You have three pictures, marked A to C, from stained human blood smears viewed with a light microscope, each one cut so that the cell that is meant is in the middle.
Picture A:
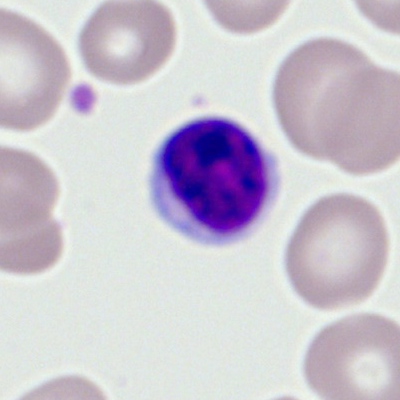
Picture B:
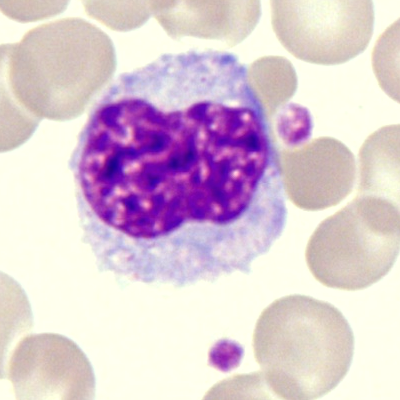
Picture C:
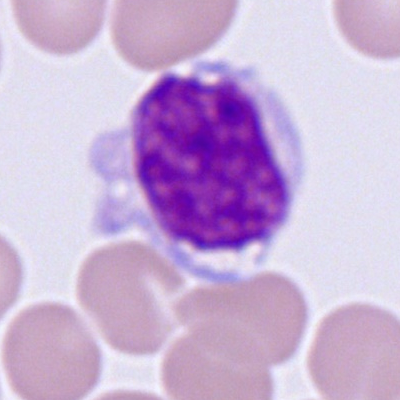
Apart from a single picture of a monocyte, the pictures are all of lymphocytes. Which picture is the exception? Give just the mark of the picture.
B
